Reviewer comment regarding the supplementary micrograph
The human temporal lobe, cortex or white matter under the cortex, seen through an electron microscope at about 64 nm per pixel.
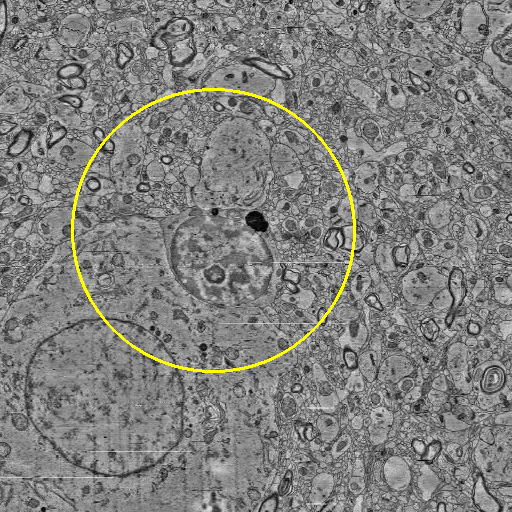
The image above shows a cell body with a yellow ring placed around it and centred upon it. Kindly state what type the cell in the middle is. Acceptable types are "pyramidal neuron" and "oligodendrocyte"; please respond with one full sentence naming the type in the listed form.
In the image above, the cell on which the yellow ring is centred is an oligodendrocyte.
